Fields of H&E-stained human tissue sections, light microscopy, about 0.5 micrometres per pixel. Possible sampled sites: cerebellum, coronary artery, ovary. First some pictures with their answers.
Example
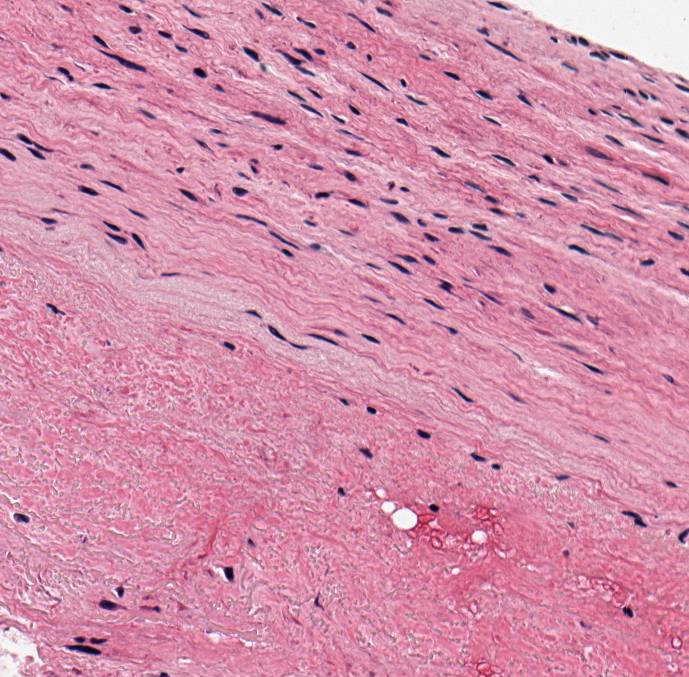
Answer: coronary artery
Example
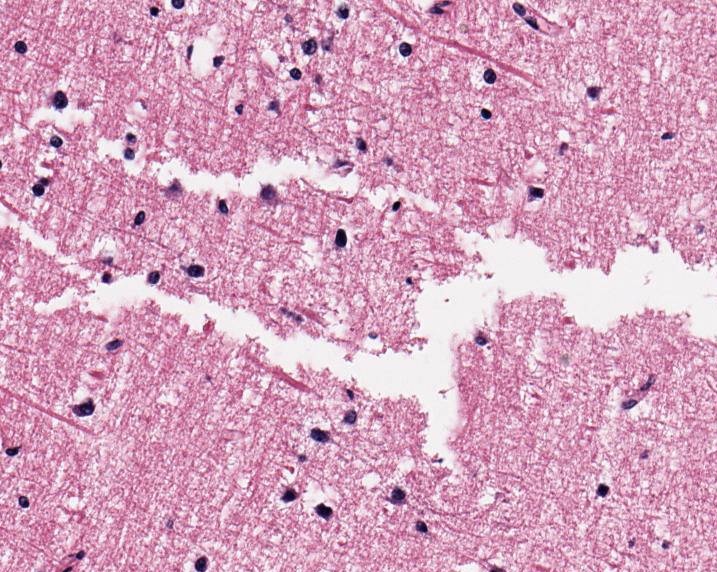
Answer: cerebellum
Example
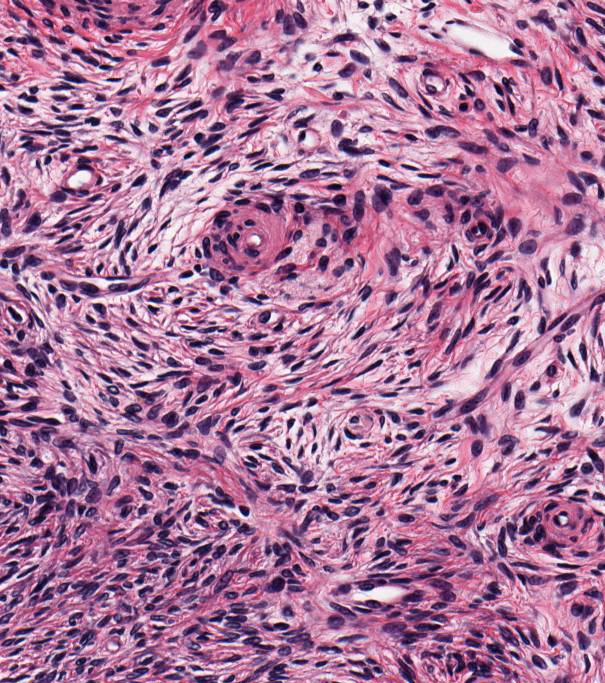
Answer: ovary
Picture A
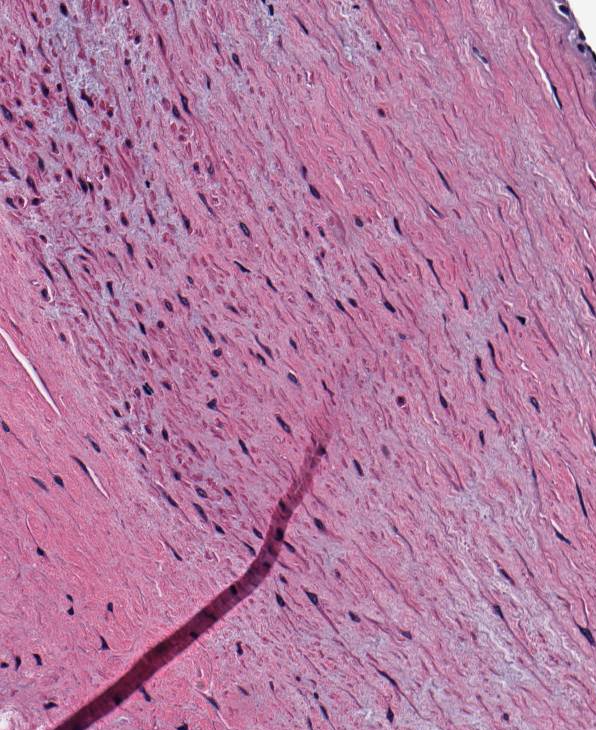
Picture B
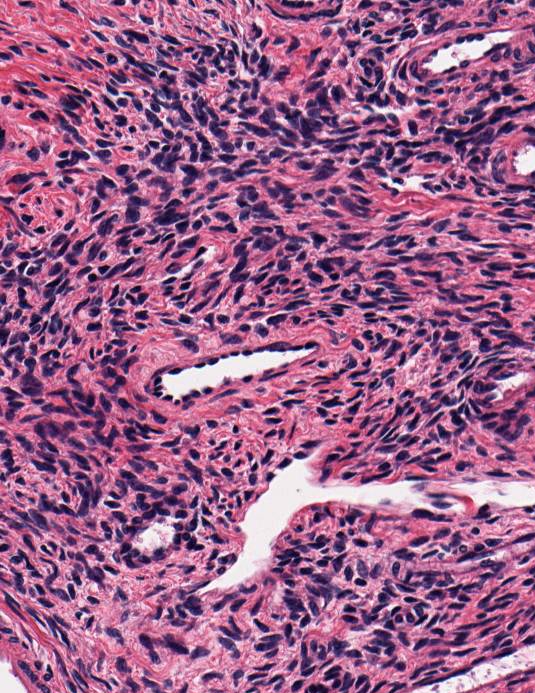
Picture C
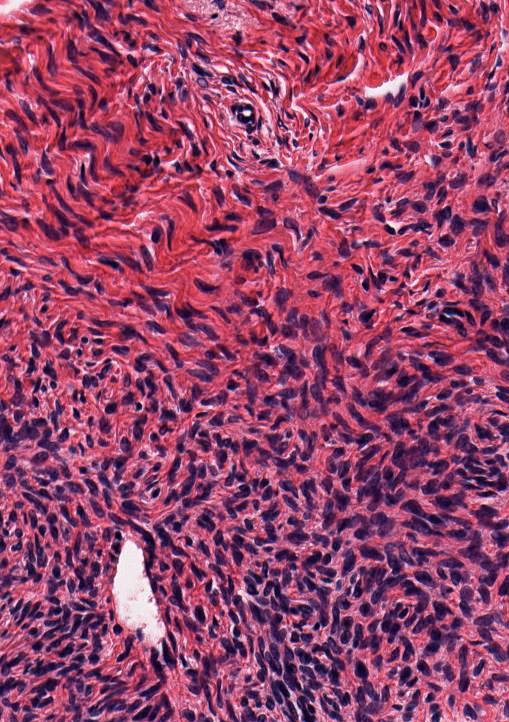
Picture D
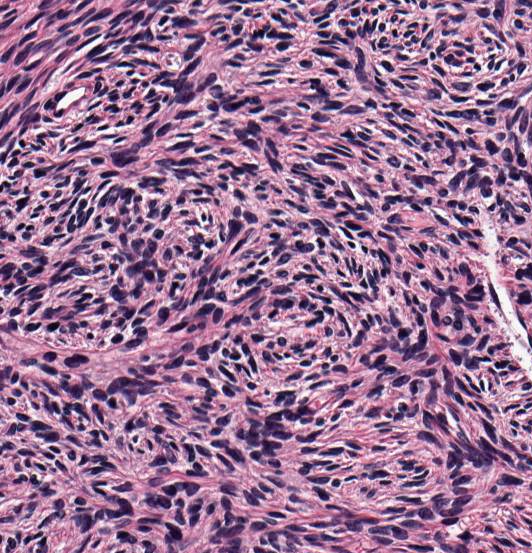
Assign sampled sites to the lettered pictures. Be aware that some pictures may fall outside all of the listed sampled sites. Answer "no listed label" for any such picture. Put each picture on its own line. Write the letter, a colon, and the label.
A: coronary artery
B: ovary
C: ovary
D: ovary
